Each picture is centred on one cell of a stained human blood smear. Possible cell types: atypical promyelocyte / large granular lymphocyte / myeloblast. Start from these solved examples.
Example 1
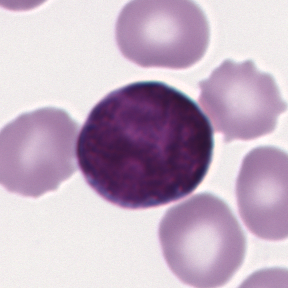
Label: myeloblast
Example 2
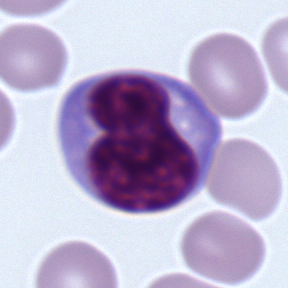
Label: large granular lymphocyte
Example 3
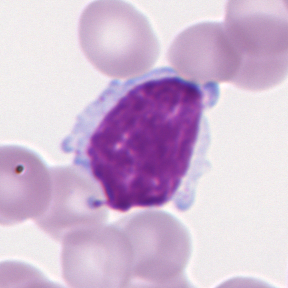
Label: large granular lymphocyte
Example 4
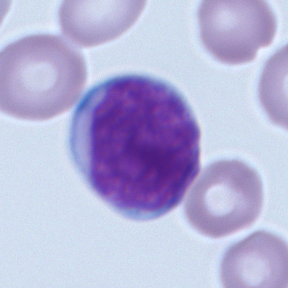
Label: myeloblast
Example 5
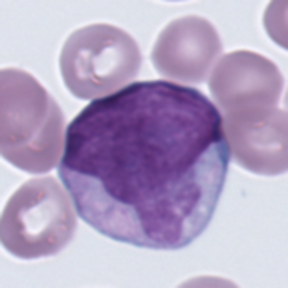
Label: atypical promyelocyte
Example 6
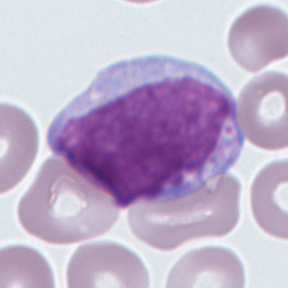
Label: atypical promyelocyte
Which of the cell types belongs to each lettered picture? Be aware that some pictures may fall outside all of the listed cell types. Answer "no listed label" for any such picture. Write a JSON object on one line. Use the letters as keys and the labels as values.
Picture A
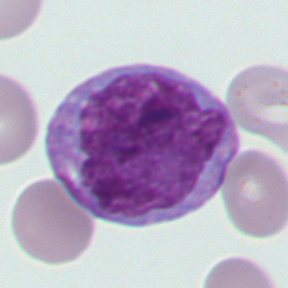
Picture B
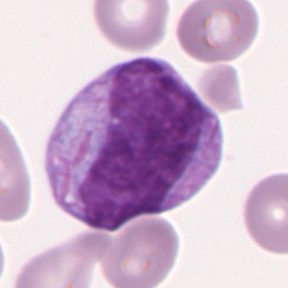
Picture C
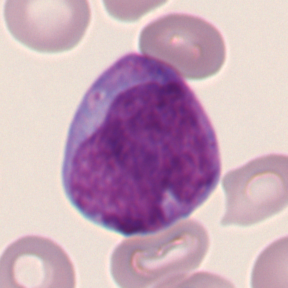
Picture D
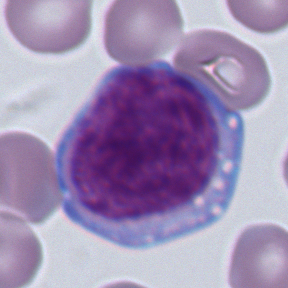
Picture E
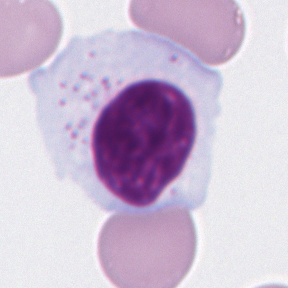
{"A": "atypical promyelocyte", "B": "atypical promyelocyte", "C": "atypical promyelocyte", "D": "myeloblast", "E": "large granular lymphocyte"}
